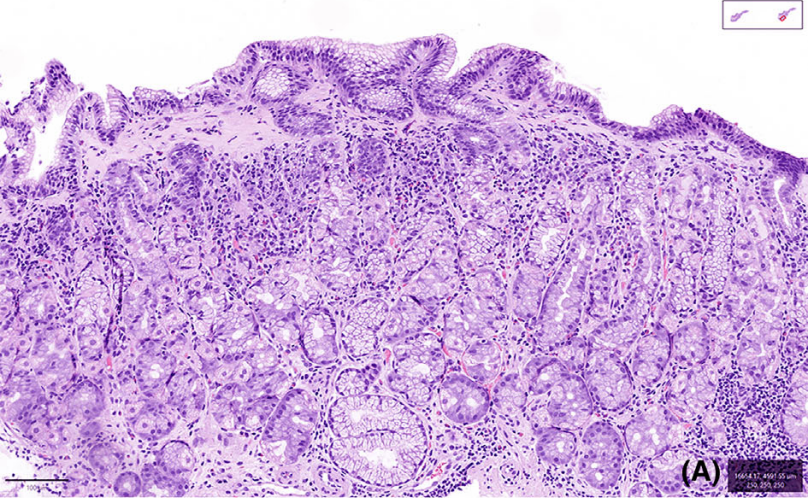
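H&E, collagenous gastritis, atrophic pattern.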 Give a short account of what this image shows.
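This is gastric mucosa in which a thick pale pink band of collagen lies right under the surface foveolar epithelium. Below it, the lamina propria is crowded with small dark inflammatory nuclei, and the deeper glands are lined by pale, mucin-filled cells rather than a full complement of oxyntic glands.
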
